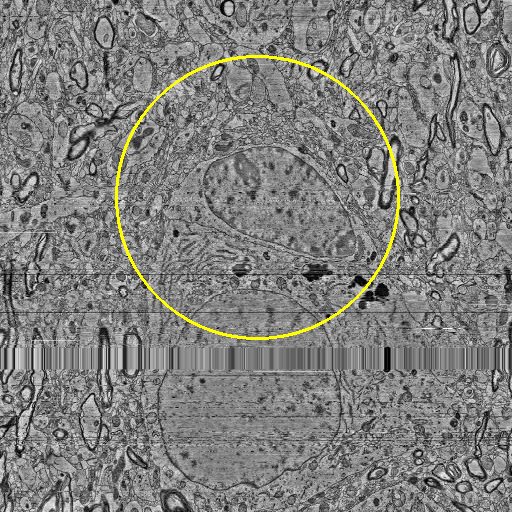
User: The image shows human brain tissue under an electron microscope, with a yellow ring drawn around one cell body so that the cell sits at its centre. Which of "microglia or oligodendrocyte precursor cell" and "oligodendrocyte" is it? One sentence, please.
At the centre of the ring sits a microglial cell or oligodendrocyte precursor cell.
